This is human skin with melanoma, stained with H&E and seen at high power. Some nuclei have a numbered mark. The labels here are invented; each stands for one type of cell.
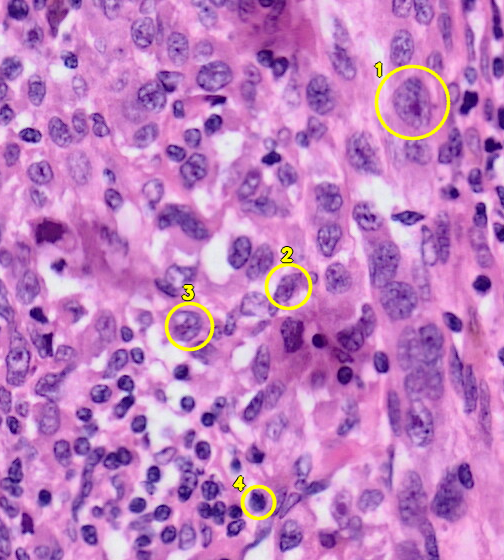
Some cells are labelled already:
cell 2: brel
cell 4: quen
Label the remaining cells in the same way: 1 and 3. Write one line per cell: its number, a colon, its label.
1: brel
3: brel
